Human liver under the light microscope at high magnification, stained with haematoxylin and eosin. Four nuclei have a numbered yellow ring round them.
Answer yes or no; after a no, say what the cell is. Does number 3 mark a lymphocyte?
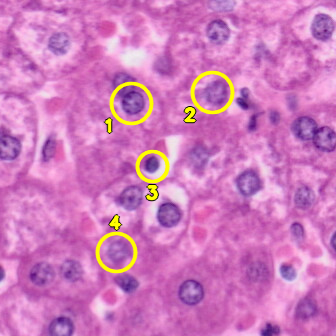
Yes.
